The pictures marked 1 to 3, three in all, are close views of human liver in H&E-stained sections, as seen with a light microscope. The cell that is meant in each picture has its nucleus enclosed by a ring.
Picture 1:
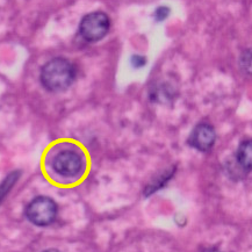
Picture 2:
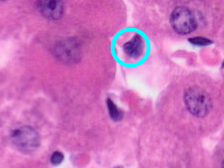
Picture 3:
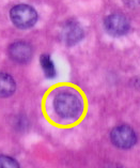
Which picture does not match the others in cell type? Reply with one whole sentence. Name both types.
All pictures except 2 show hepatocytes; picture 2 shows a “fibroblast or stellate cell”.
